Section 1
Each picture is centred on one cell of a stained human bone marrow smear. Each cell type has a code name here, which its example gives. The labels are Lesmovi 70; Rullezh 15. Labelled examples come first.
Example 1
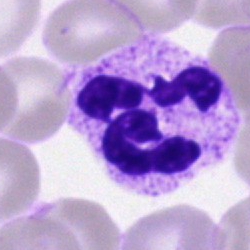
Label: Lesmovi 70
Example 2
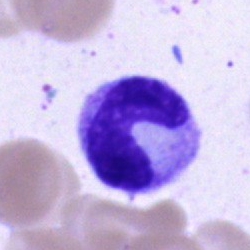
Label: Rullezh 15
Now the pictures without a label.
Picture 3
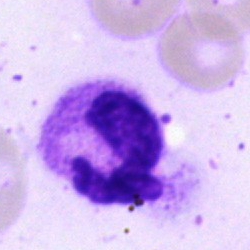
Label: Lesmovi 70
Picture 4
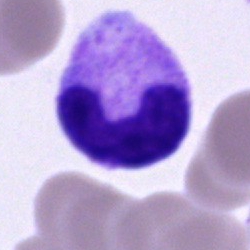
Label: Rullezh 15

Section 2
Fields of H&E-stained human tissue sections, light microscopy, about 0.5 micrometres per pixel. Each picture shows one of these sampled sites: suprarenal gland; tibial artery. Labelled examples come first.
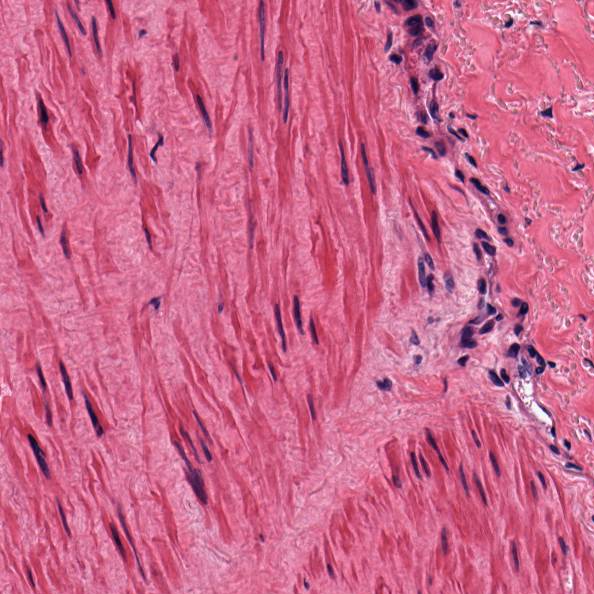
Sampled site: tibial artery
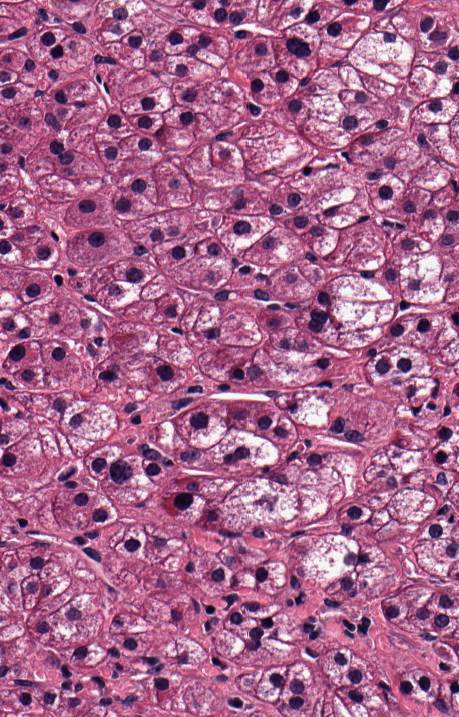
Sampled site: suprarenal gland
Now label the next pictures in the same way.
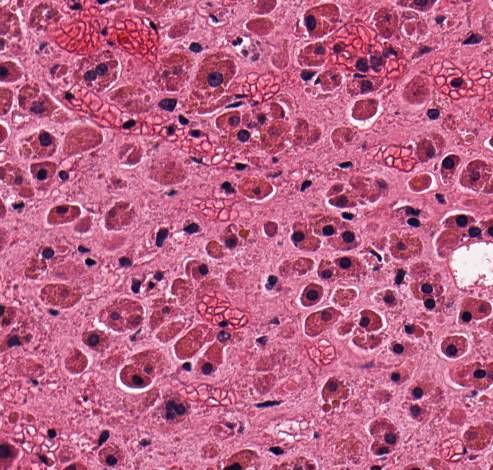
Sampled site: suprarenal gland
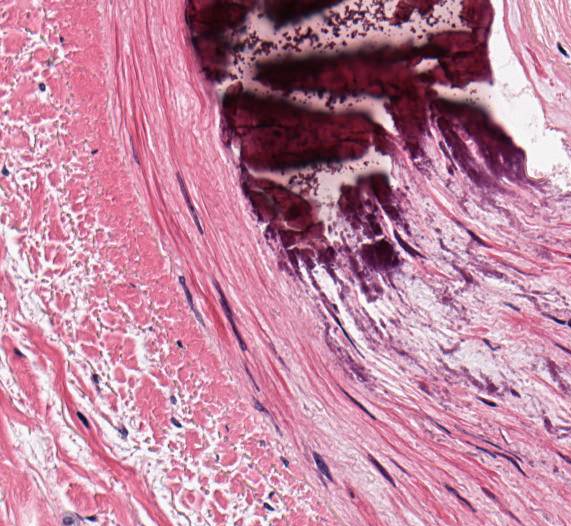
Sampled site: tibial artery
